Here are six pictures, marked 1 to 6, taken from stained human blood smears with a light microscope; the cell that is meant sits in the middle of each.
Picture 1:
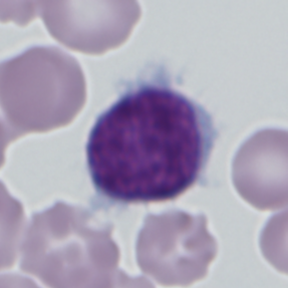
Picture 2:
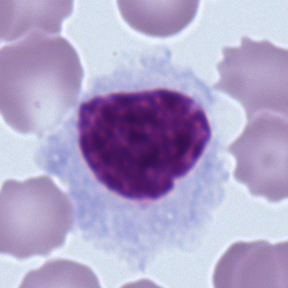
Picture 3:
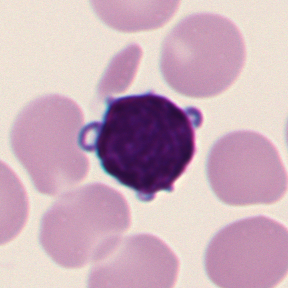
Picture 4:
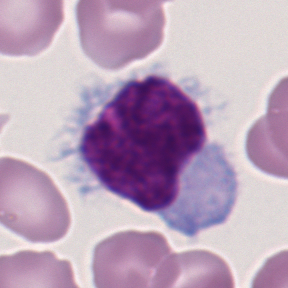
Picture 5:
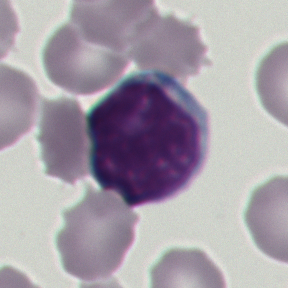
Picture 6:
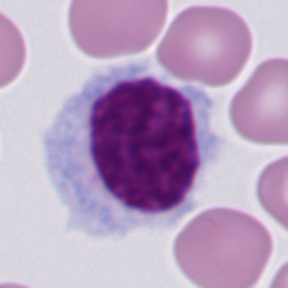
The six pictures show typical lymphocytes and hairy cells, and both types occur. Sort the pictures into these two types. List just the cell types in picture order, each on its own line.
hairy cell
hairy cell
typical lymphocyte
hairy cell
typical lymphocyte
hairy cell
